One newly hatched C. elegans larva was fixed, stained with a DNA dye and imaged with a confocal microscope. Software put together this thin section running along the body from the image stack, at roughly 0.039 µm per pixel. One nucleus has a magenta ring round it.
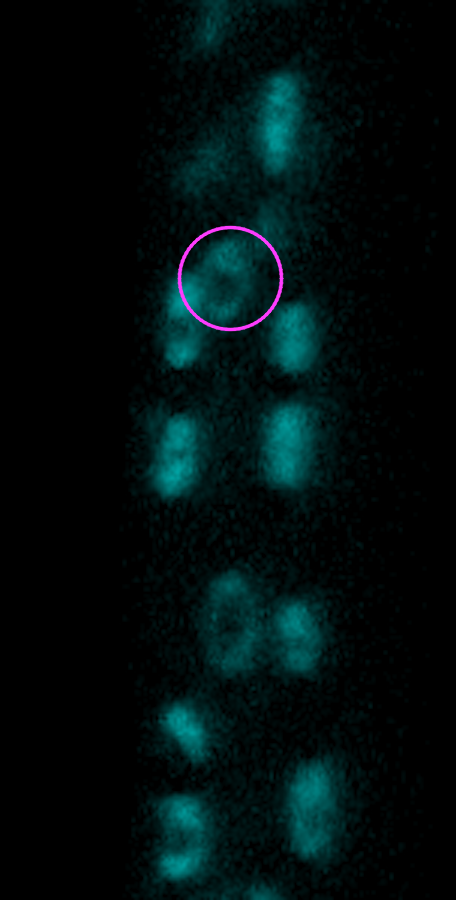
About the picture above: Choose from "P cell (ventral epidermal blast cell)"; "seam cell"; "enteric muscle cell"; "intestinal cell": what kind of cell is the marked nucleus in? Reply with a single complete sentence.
The cell with the marked nucleus is an intestinal cell.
